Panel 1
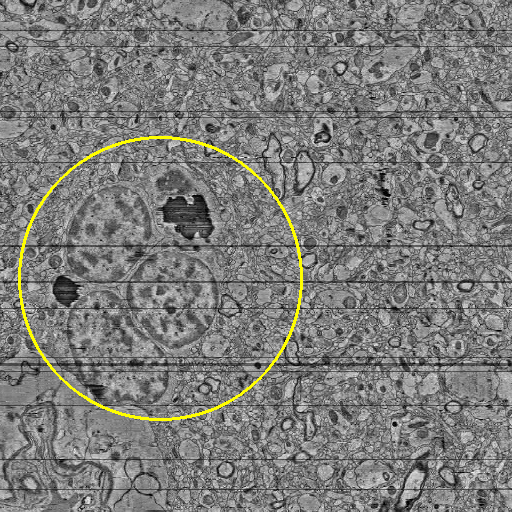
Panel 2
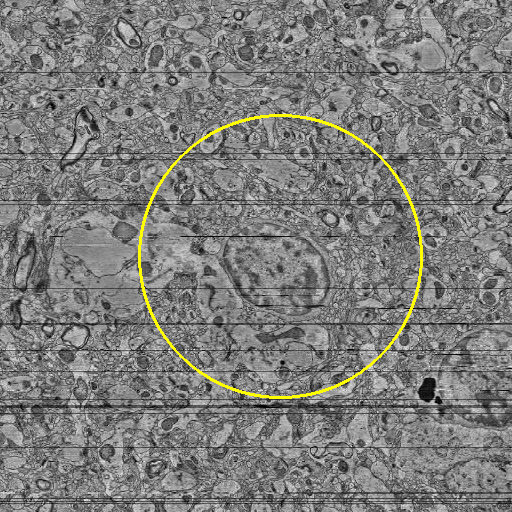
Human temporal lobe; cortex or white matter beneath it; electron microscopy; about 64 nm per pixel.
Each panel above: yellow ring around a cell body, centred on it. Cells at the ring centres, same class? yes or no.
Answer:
yes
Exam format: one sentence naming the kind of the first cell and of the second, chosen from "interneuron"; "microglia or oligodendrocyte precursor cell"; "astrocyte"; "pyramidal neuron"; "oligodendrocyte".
Both cells are the same kind, each one being an oligodendrocyte.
